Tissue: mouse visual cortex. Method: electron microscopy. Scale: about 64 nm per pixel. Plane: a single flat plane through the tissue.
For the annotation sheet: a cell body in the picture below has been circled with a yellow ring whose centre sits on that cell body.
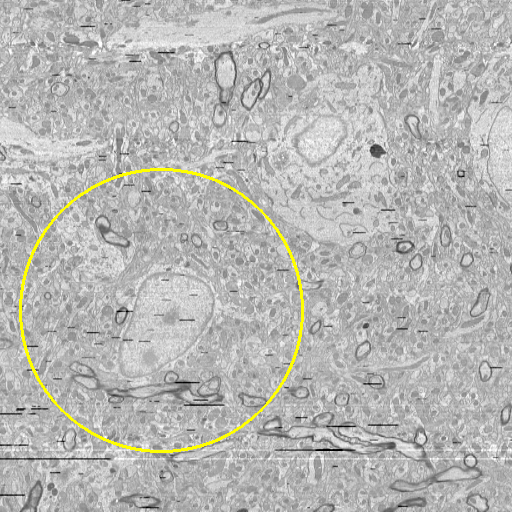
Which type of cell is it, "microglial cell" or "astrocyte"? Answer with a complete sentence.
The circled cell is an astrocyte.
